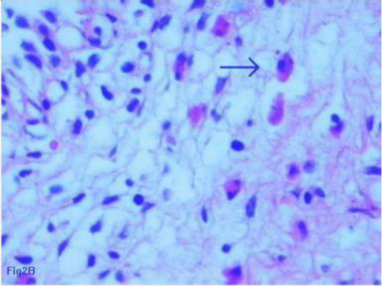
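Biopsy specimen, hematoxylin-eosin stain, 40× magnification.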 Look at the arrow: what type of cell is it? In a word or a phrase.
Eosinophilic cell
